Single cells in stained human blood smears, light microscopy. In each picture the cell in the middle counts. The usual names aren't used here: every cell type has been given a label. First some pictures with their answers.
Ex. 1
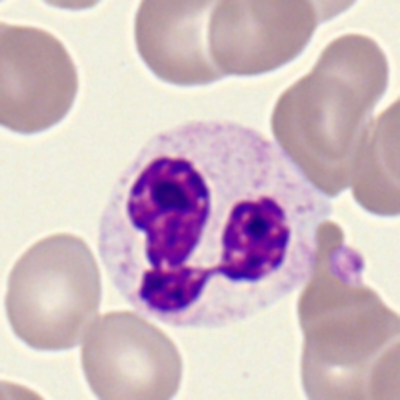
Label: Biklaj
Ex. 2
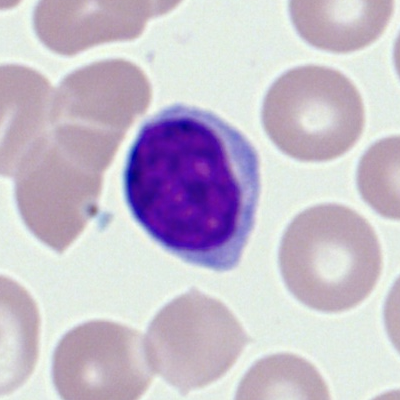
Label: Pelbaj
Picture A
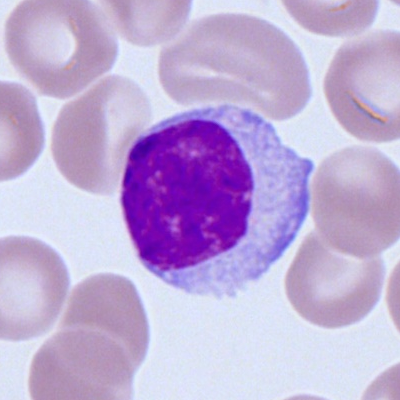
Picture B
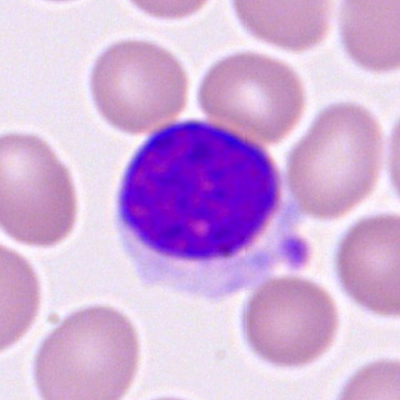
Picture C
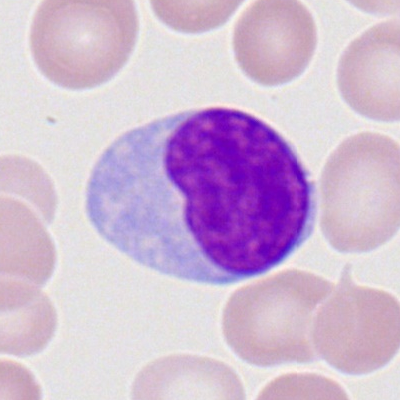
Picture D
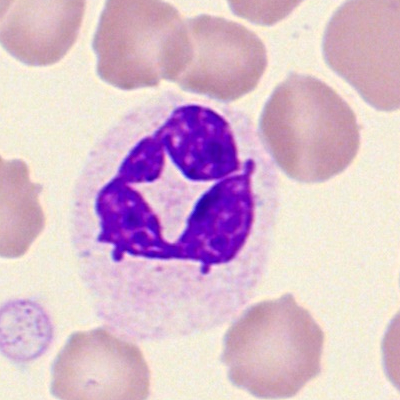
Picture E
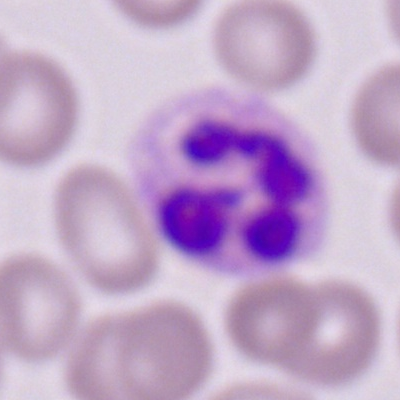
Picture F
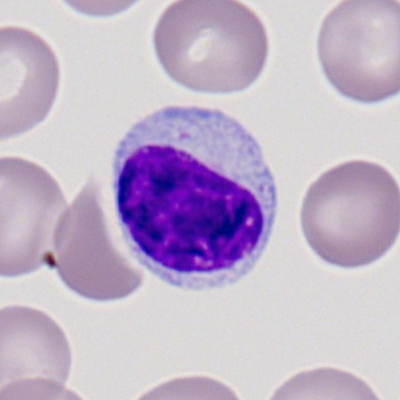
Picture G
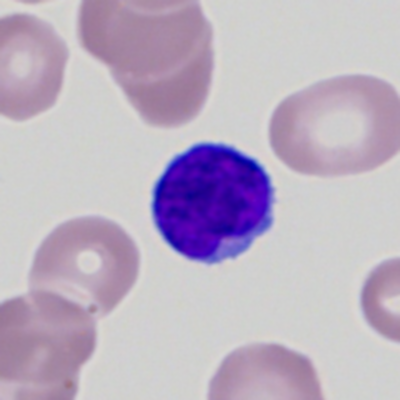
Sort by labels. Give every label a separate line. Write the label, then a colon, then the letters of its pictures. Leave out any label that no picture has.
Biklaj: D, E
Pelbaj: A, B, C, F, G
